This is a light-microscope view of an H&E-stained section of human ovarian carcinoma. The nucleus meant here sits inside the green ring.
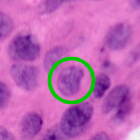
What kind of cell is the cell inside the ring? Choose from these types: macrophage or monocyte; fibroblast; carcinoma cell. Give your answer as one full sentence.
Labelled by cell type, the cell inside the ring is a carcinoma cell.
